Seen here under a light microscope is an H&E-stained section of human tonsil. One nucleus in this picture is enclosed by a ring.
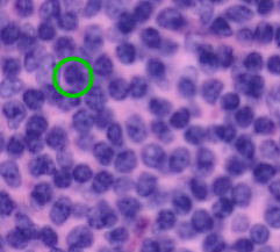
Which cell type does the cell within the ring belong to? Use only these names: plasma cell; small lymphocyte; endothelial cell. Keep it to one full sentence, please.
In this tissue section, the cell within the ring is to be classed as a small lymphocyte.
